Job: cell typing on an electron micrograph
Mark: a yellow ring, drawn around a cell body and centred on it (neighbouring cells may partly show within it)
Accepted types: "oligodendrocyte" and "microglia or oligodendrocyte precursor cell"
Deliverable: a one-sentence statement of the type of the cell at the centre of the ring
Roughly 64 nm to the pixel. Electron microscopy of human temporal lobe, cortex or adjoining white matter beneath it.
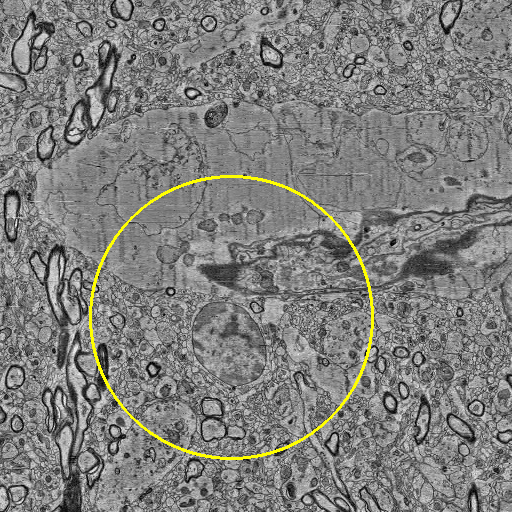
The centred cell body is that of a microglial cell or oligodendrocyte precursor cell.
